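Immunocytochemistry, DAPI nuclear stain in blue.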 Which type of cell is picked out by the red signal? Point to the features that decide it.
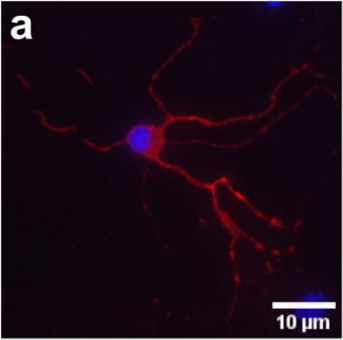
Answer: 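Neurons. A single round cell body with a blue nucleus. Several long, thin, branching red processes radiate from the cell body. The processes taper and branch over distances several times the soma diameter.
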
